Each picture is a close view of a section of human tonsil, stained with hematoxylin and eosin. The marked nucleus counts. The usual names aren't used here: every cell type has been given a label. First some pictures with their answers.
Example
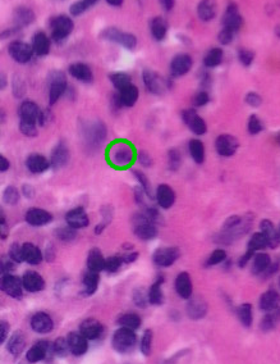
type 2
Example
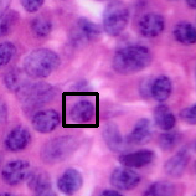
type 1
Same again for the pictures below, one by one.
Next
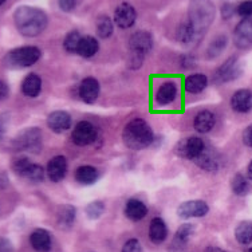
type 1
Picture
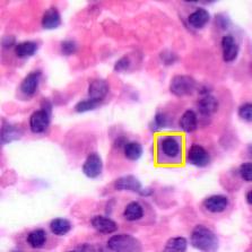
type 1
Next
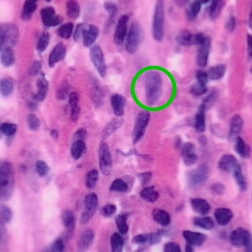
type 2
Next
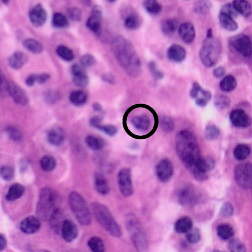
type 1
